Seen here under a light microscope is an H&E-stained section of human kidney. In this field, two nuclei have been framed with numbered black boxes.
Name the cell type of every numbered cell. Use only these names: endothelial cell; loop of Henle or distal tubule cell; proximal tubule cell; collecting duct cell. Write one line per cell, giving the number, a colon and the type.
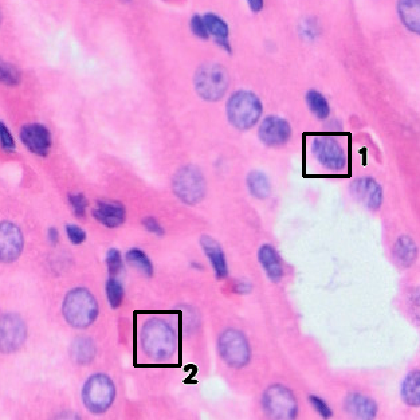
1: loop of Henle or distal tubule cell
2: proximal tubule cell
